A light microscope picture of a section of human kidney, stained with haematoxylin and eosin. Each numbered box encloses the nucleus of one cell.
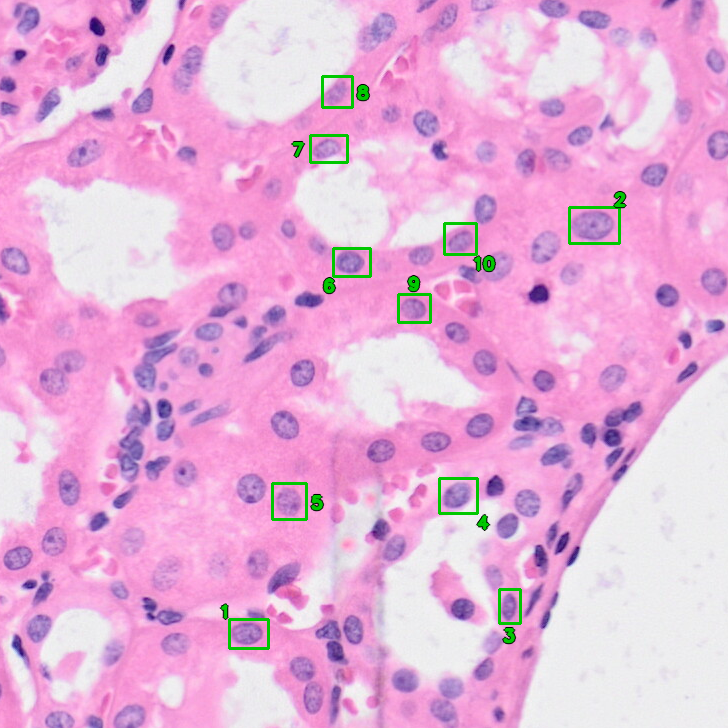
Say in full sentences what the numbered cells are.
Cells 1, 2, 5 and 9 are proximal tubule cells. Cells 3 and 4 are collecting duct cells. Cells 6, 7, 8 and 10 are loop of Henle or distal tubule cells.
